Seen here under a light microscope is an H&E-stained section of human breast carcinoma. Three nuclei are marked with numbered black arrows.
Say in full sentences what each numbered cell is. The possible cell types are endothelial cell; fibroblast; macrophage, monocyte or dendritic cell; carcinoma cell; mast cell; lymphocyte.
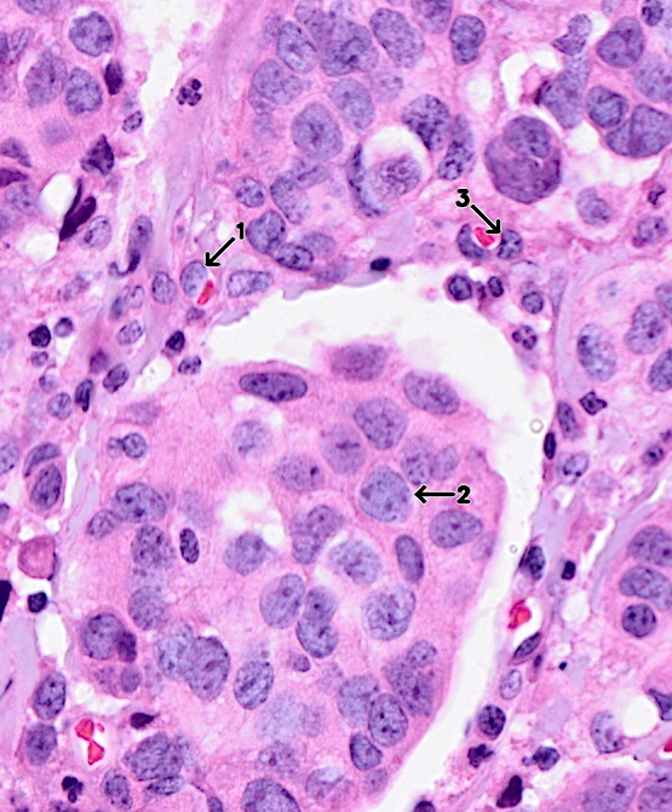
Cells 1 and 3 are endothelial cells. Cell 2 is a carcinoma cell.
